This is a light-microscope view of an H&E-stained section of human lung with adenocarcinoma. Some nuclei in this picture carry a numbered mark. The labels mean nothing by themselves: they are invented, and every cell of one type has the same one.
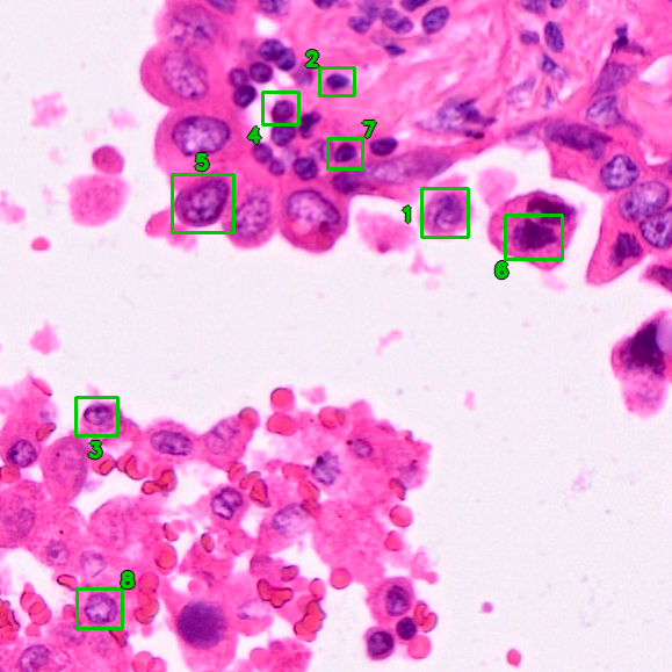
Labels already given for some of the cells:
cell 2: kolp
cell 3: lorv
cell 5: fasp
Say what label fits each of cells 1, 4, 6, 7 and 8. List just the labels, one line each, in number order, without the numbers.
fasp
kolp
fasp
kolp
lorv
